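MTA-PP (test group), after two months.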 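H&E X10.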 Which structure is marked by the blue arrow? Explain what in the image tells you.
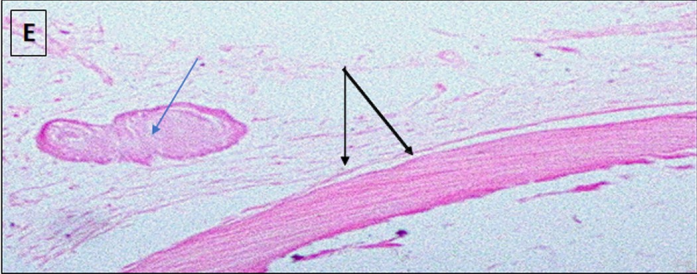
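An isolated oval pink mass with concentric layering lies free in loose connective tissue. It is separate from the long pink band beside it.
Answer: pulp calcifications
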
